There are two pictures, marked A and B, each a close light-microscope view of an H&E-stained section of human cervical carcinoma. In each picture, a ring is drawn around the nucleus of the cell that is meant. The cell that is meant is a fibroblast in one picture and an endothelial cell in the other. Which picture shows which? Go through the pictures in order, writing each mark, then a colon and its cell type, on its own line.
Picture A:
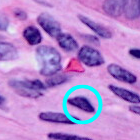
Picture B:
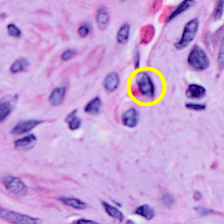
A: fibroblast
B: endothelial cell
